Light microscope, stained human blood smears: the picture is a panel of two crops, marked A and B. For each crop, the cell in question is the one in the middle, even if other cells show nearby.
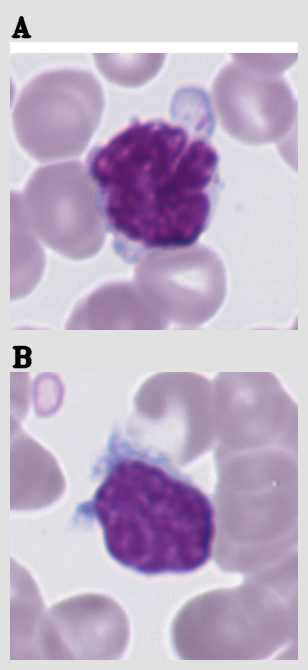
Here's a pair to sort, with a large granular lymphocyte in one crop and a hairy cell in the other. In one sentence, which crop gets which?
Crop A here is a large granular lymphocyte, and crop B is a hairy cell.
